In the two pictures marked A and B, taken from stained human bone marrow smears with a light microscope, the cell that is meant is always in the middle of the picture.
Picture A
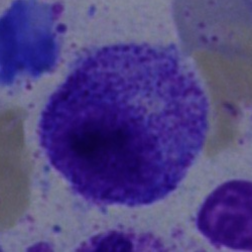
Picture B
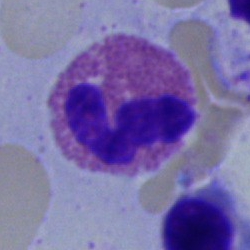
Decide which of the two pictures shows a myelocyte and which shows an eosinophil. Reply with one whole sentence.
Picture A is of a myelocyte, and picture B is of an eosinophil.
